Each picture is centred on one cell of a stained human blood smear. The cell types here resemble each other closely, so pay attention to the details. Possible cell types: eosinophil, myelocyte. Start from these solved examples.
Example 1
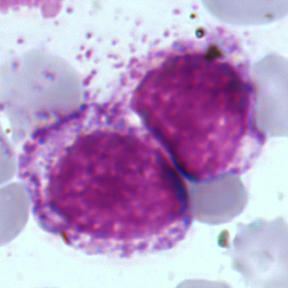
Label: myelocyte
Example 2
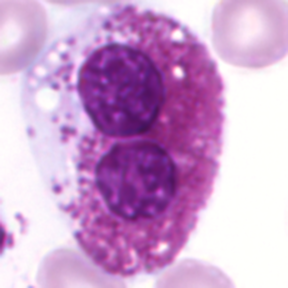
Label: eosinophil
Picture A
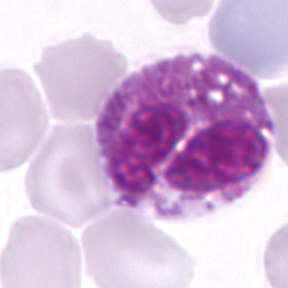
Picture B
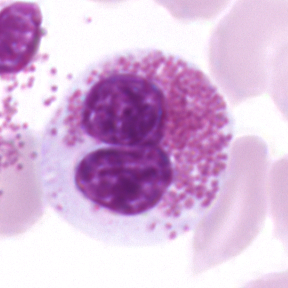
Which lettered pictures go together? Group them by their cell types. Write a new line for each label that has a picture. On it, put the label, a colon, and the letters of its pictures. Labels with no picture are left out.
eosinophil: A, B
